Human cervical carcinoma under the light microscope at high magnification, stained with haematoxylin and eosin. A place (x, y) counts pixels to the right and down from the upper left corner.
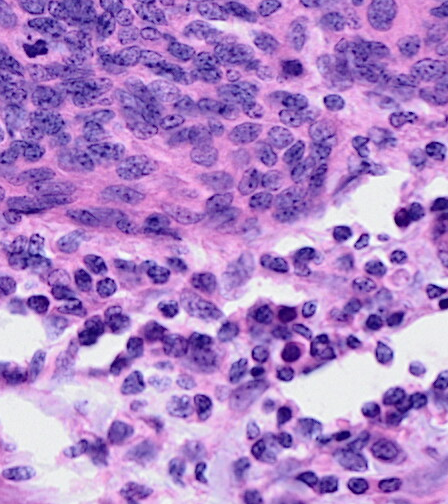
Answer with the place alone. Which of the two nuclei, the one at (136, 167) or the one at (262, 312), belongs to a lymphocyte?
(262, 312)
